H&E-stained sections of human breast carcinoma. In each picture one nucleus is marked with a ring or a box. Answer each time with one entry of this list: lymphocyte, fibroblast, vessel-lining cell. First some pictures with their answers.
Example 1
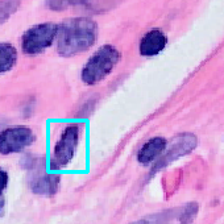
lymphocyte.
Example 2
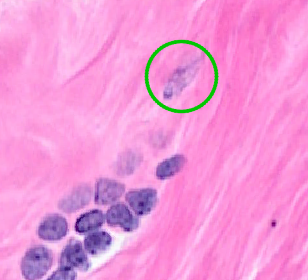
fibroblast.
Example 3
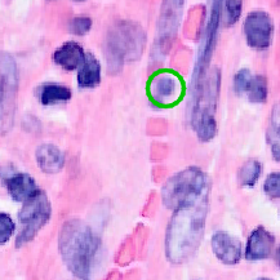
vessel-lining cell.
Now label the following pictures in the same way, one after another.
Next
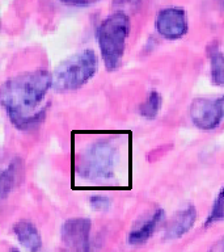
vessel-lining cell.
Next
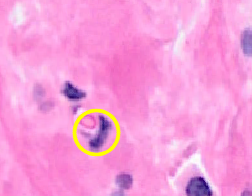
vessel-lining cell.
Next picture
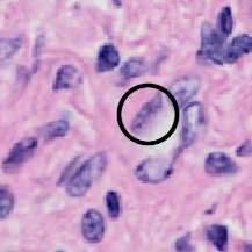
vessel-lining cell.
